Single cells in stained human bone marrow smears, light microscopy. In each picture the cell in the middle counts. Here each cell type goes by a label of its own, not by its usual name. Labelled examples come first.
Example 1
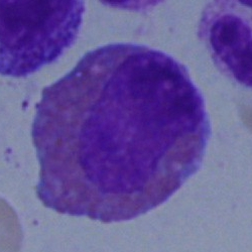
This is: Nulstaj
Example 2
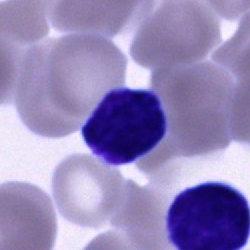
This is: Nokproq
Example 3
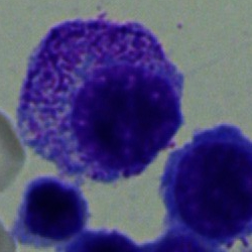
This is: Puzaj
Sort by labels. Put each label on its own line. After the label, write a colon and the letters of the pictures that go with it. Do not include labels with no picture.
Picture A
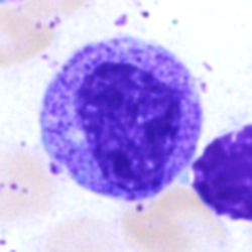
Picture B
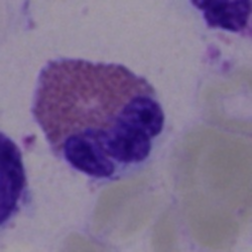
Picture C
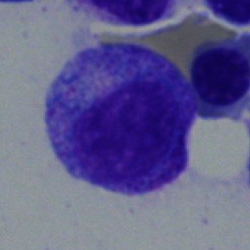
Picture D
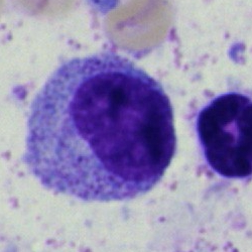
Nulstaj: B
Puzaj: A, C, D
